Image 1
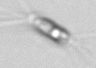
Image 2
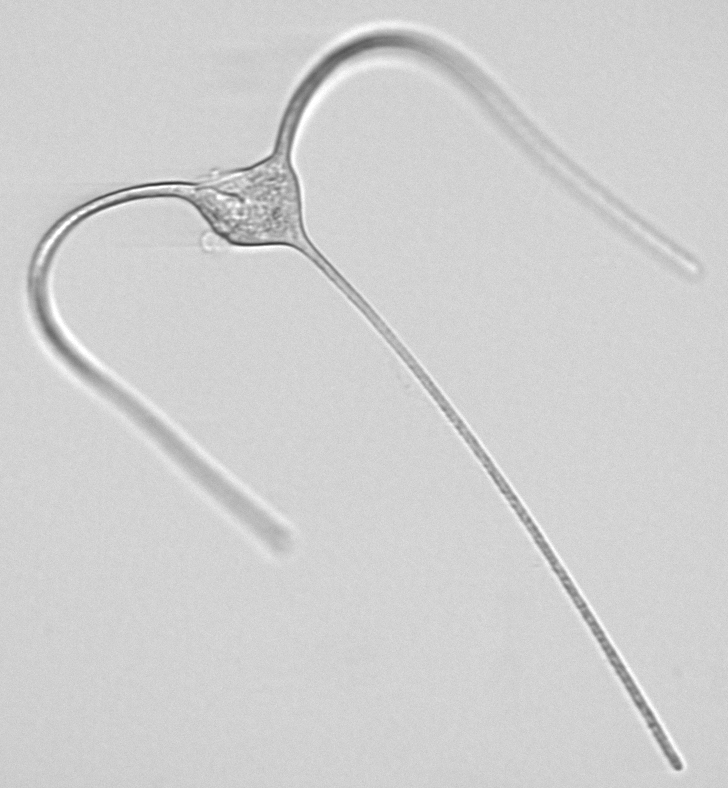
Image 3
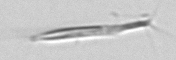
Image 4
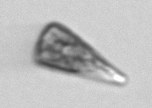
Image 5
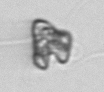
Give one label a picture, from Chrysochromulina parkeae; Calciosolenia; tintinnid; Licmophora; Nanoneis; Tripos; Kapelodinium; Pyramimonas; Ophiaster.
1: Chrysochromulina parkeae
2: Tripos
3: Calciosolenia
4: Licmophora
5: Pyramimonas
